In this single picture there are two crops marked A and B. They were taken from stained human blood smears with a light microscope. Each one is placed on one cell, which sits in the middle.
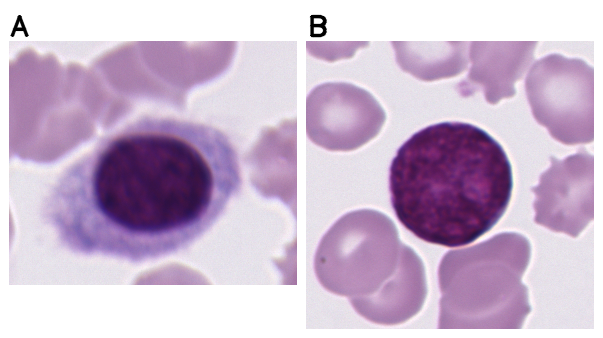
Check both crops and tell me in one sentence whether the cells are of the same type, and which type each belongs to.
No, the assignment should read crop A, a hairy cell; crop B, a myeloblast.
